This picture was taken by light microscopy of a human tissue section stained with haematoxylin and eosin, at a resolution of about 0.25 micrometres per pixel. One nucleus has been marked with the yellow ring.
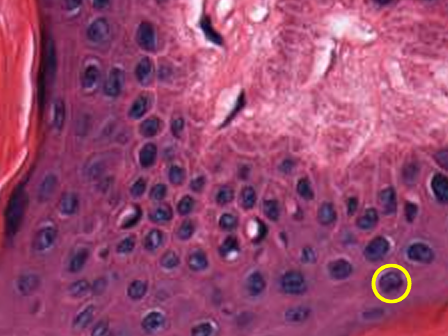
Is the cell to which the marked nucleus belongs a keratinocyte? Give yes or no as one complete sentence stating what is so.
Yes, the nucleus indicated by the marking belongs to a keratinocyte.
